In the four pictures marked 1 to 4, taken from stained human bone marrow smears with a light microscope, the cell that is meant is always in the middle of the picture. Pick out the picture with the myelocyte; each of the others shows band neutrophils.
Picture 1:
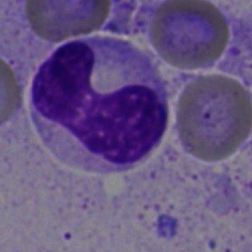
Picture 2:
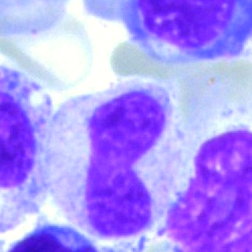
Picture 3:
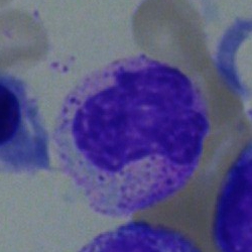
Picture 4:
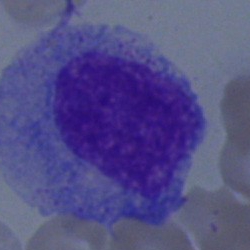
4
